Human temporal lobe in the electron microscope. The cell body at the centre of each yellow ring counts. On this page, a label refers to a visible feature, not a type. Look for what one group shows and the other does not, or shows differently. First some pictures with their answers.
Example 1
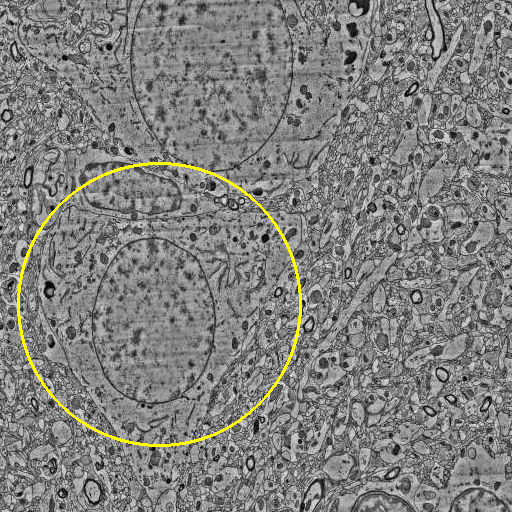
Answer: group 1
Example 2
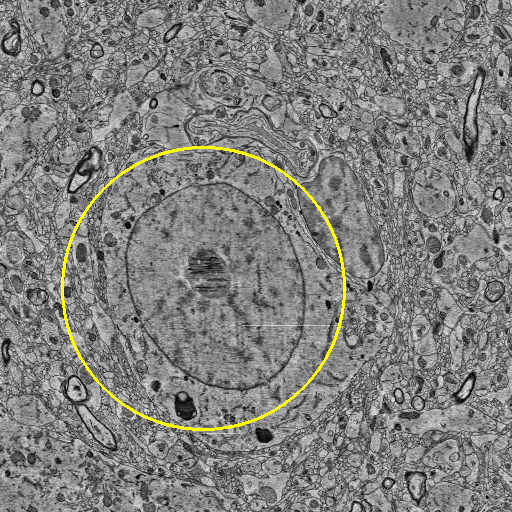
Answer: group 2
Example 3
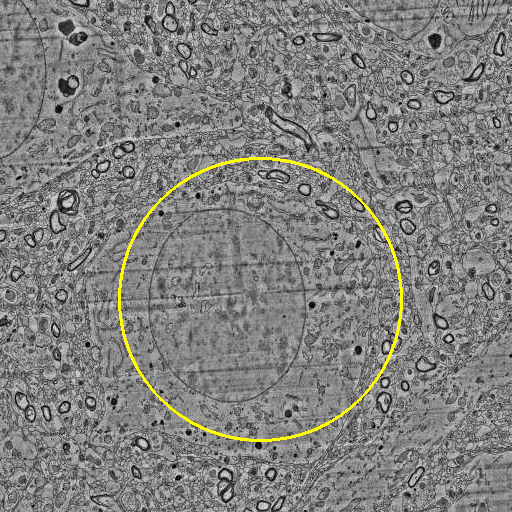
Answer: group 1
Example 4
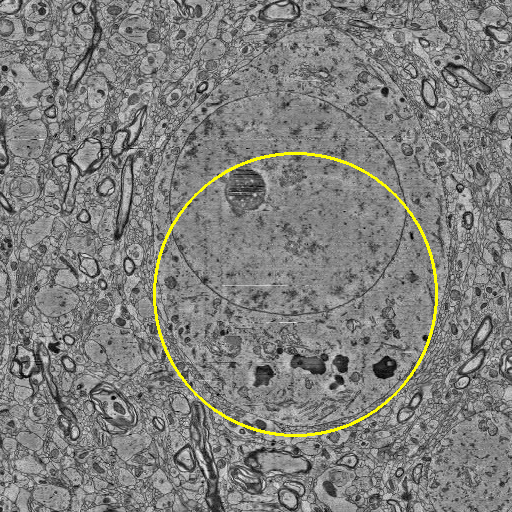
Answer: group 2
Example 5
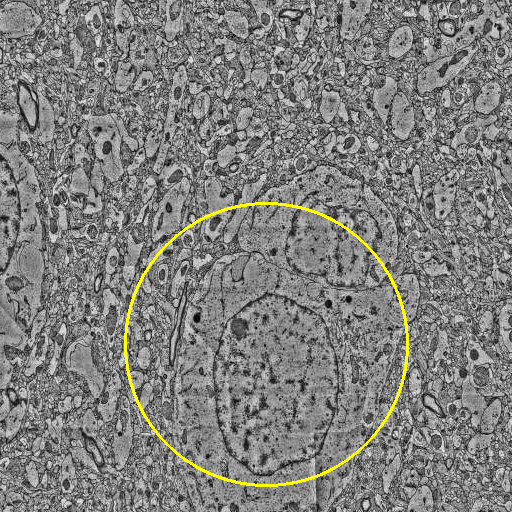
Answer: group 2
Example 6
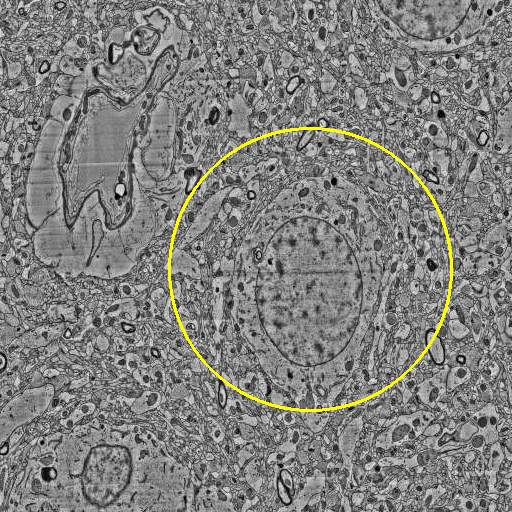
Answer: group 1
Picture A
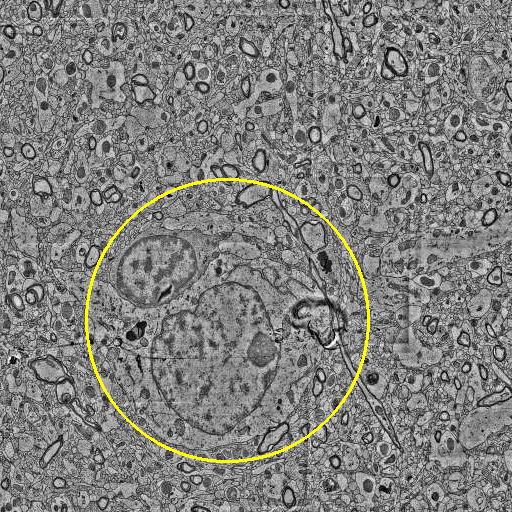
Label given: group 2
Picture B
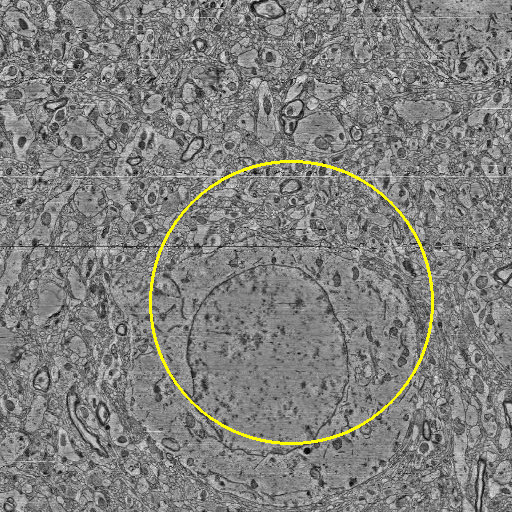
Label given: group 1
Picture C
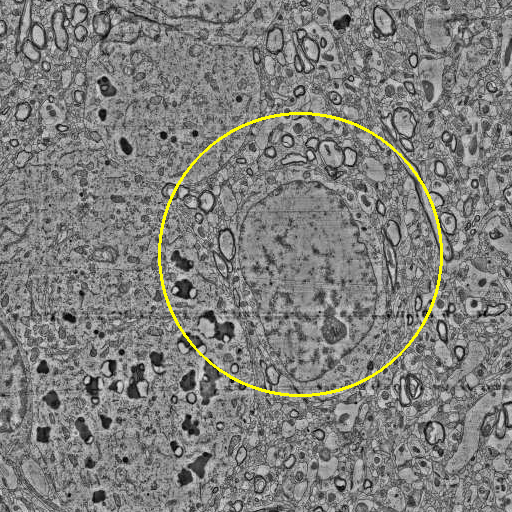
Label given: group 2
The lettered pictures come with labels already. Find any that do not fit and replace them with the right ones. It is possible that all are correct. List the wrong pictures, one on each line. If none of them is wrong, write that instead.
Every label is right.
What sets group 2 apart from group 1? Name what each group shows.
Seen in group 2: nucleolus seen; seen in group 1: no nucleolus seen.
